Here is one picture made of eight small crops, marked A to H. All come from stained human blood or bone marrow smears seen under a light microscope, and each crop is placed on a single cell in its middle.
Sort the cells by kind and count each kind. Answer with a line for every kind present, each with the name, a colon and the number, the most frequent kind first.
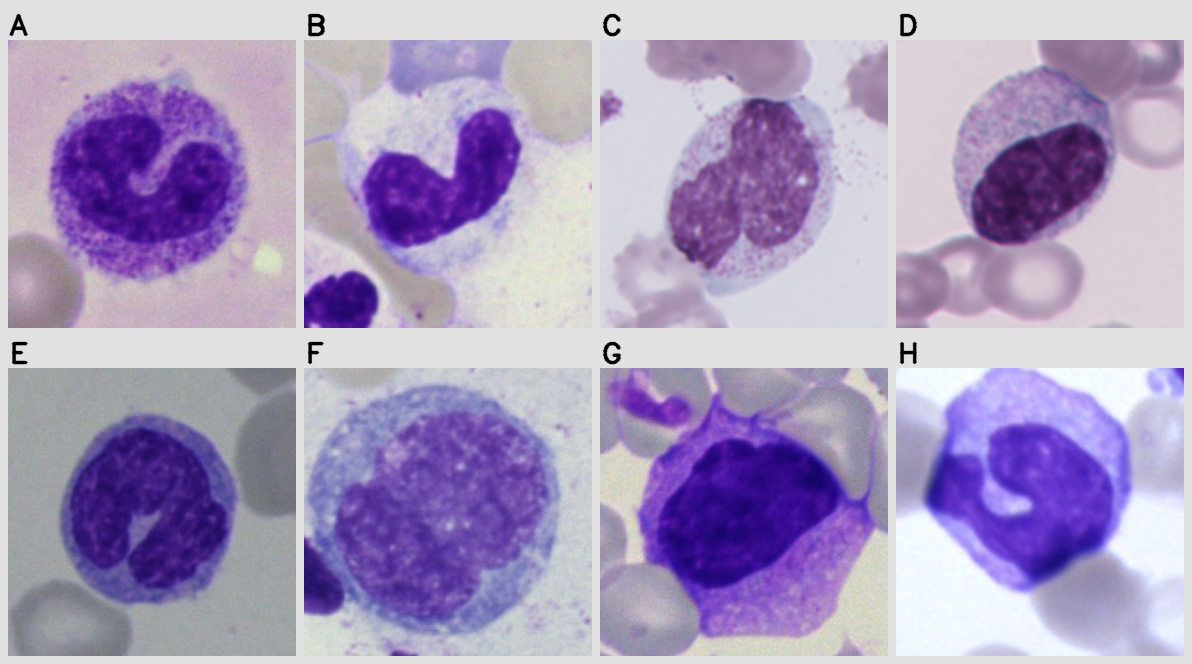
monocyte: 5
band neutrophil: 3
